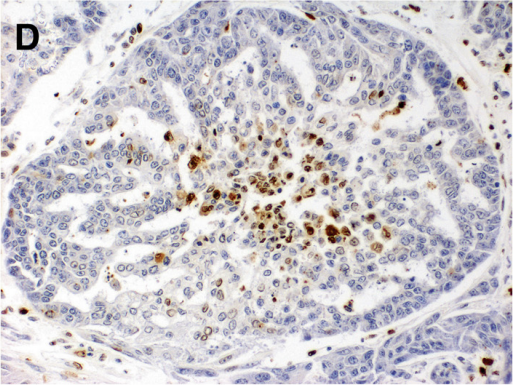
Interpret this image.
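A rounded nest of cancer cells fills most of the field, bordered by a thin rim of fibrous stroma. The cells form many small slit-like and irregular spaces, giving the nest a sieve-like look. Most nuclei are pale blue-grey, but in the centre of the nest a cluster of nuclei and cell fragments is stained dark brown. A few scattered brown-stained cells also lie at the edge and in the stroma outside the nest.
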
